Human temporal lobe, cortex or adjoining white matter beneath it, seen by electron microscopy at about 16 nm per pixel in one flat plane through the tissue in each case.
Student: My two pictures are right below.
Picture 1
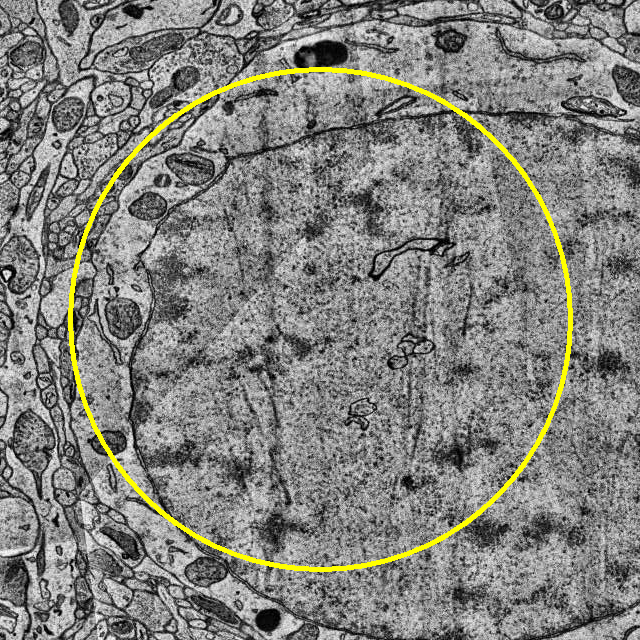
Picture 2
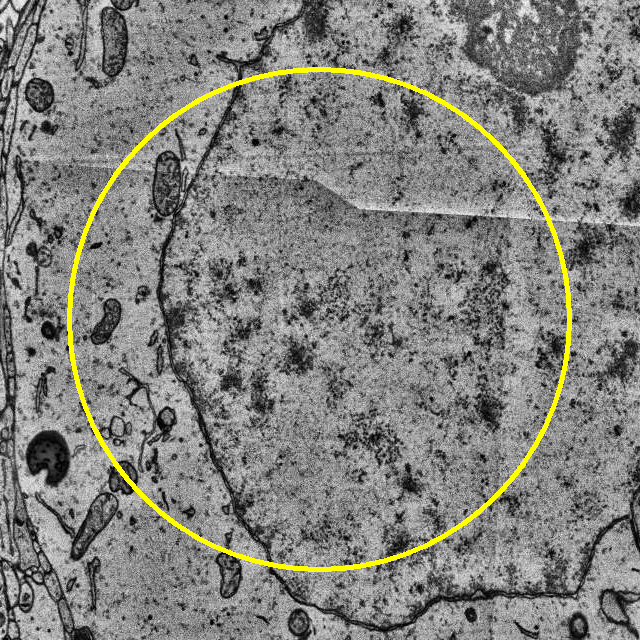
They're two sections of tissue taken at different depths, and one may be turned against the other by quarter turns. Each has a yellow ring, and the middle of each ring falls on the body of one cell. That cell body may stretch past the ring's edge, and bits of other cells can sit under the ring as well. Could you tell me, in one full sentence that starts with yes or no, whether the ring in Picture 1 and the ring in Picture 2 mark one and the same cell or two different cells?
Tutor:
No, the two rings outline two separate cells in this micrograph.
